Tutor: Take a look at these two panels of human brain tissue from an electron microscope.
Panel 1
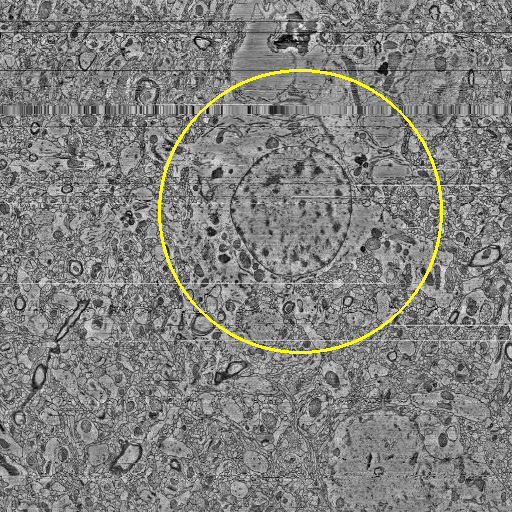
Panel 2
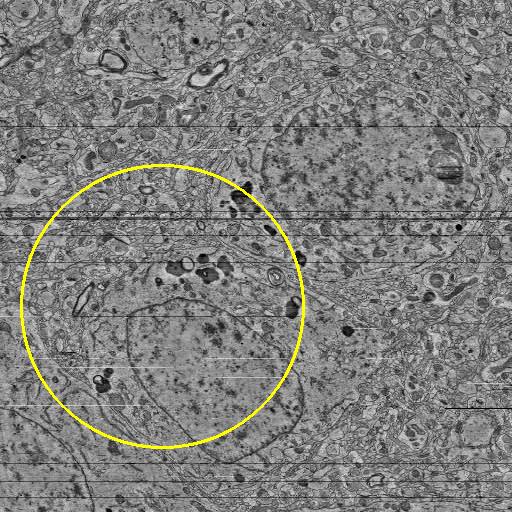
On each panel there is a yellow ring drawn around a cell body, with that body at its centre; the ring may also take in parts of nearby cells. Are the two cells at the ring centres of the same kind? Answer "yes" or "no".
no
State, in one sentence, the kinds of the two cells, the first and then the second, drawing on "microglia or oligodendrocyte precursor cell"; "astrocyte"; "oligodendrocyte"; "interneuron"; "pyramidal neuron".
The ring in the second picture is centred on a pyramidal neuron, the ring in the first on an astrocyte.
